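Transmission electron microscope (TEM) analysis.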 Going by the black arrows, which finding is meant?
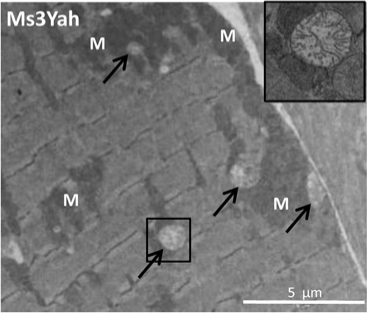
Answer: Degenerative mitochondria.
